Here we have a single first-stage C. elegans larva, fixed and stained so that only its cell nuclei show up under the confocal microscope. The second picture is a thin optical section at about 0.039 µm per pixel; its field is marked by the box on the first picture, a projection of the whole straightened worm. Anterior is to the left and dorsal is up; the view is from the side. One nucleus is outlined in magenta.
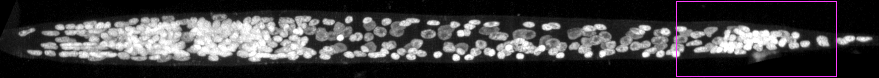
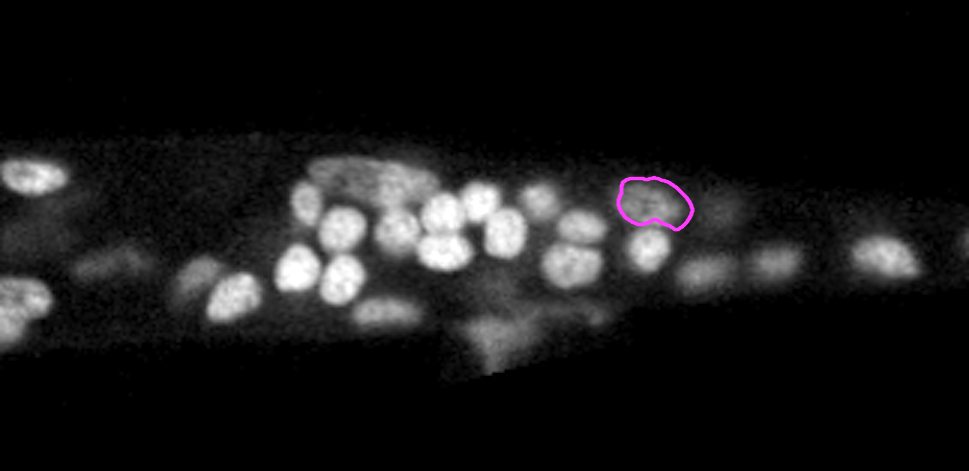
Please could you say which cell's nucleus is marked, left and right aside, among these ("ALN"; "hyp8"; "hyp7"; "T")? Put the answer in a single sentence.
The marked nucleus belongs to T, a seam cell.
